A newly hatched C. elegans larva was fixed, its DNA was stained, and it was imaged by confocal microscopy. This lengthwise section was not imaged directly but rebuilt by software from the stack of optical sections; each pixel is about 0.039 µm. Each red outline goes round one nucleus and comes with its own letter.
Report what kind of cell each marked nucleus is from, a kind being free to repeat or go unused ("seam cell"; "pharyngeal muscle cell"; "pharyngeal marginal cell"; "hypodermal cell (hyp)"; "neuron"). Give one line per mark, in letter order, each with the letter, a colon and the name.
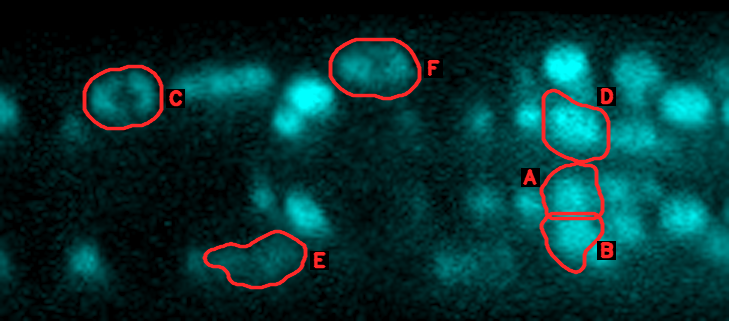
A: pharyngeal muscle cell
B: neuron
C: hypodermal cell (hyp)
D: pharyngeal muscle cell
E: hypodermal cell (hyp)
F: seam cell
